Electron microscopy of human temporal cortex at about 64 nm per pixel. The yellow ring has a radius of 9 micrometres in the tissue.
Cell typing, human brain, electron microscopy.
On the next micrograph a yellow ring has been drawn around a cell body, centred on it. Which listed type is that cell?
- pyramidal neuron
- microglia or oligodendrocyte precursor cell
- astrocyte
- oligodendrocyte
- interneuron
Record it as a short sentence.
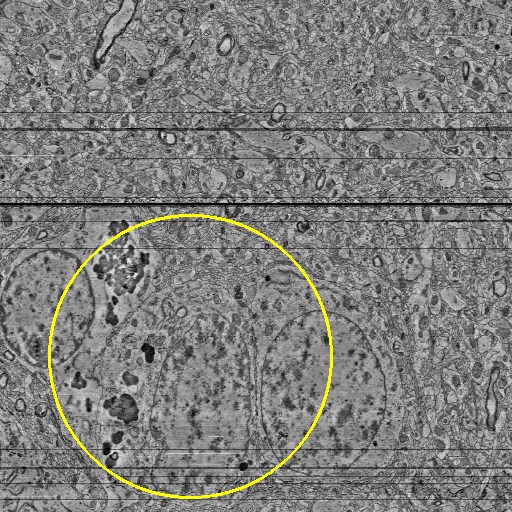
The cell body in the ring's centre belongs to an interneuron.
